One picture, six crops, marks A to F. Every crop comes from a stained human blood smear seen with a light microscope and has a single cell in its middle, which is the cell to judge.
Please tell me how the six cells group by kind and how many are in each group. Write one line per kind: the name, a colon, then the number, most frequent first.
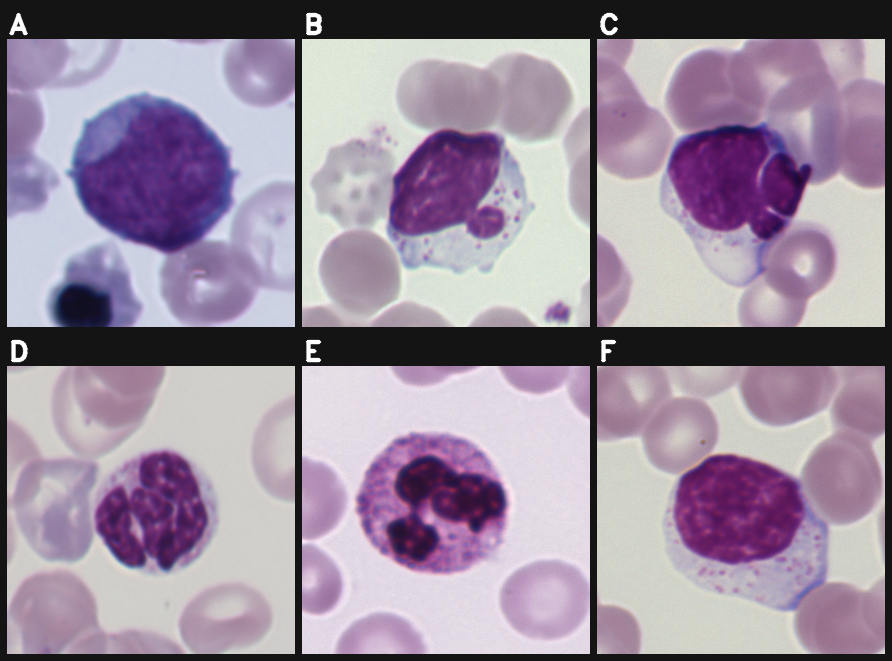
large granular lymphocyte: 3
segmented neutrophil: 2
myeloblast: 1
